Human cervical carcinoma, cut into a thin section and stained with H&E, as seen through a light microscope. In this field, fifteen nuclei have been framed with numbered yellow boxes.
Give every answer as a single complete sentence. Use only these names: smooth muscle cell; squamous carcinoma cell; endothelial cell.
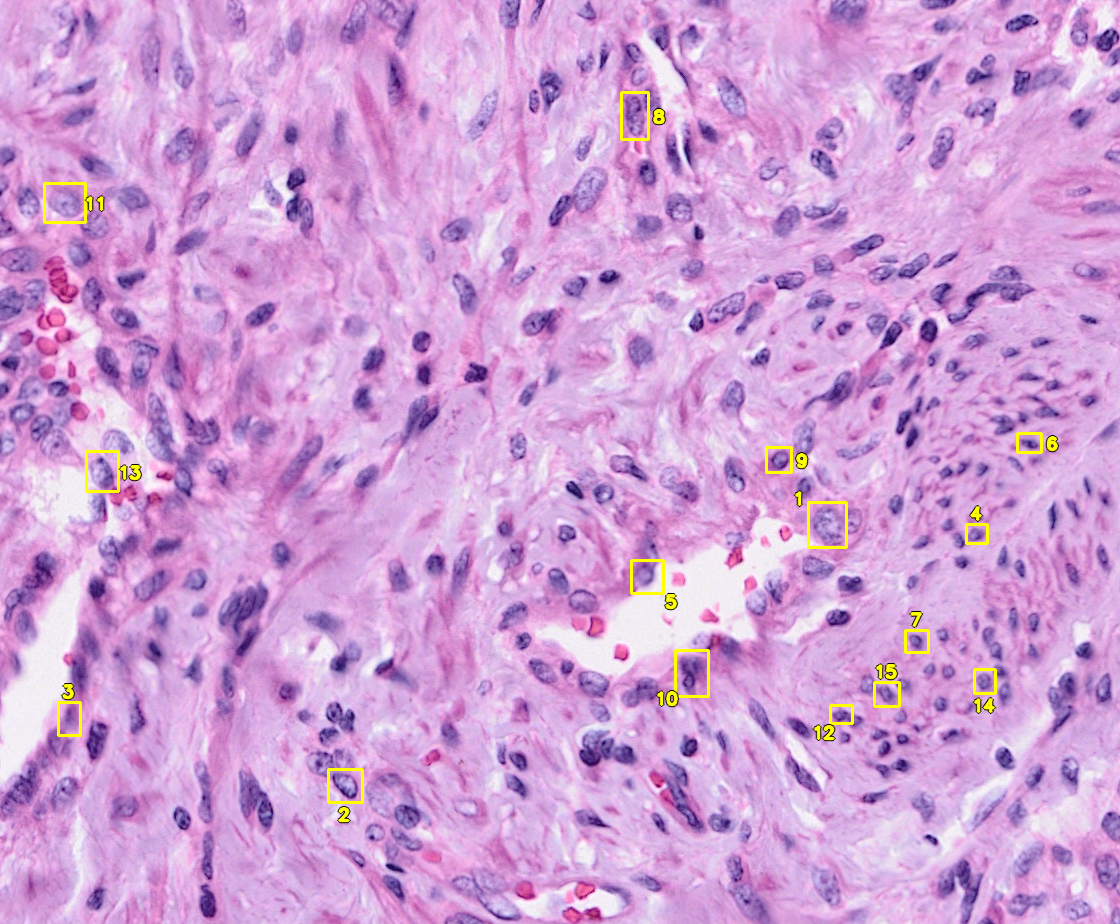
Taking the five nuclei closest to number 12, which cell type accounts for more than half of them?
Most of the five nuclei nearest to number 12 are those of smooth muscle cells.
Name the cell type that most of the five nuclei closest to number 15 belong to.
Most of the five nuclei nearest to number 15 are those of smooth muscle cells.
